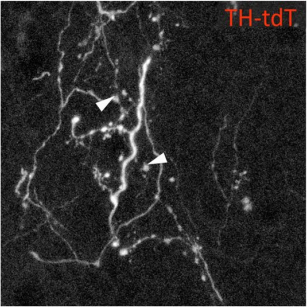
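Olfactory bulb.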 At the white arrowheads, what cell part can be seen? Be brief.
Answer: Varicosities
